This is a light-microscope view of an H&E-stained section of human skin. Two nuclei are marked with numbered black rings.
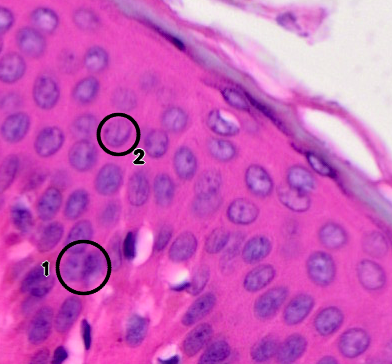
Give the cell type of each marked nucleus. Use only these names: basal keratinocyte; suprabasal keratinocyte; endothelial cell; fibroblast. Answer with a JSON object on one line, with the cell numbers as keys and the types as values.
{"1": "basal keratinocyte", "2": "suprabasal keratinocyte"}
